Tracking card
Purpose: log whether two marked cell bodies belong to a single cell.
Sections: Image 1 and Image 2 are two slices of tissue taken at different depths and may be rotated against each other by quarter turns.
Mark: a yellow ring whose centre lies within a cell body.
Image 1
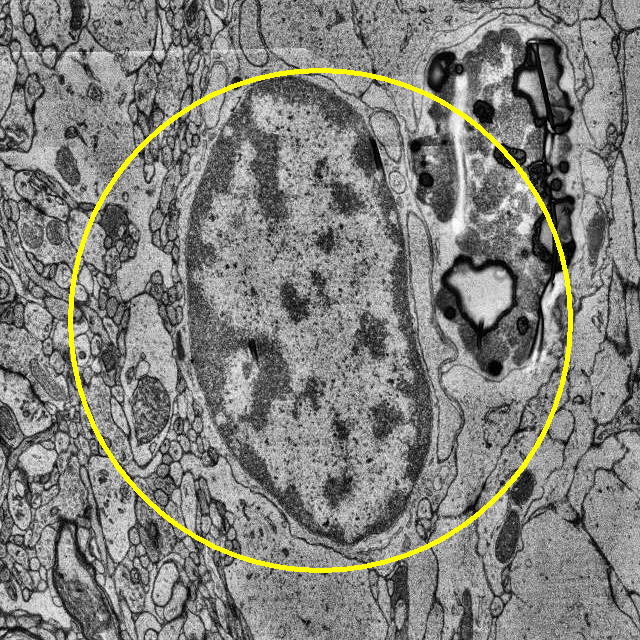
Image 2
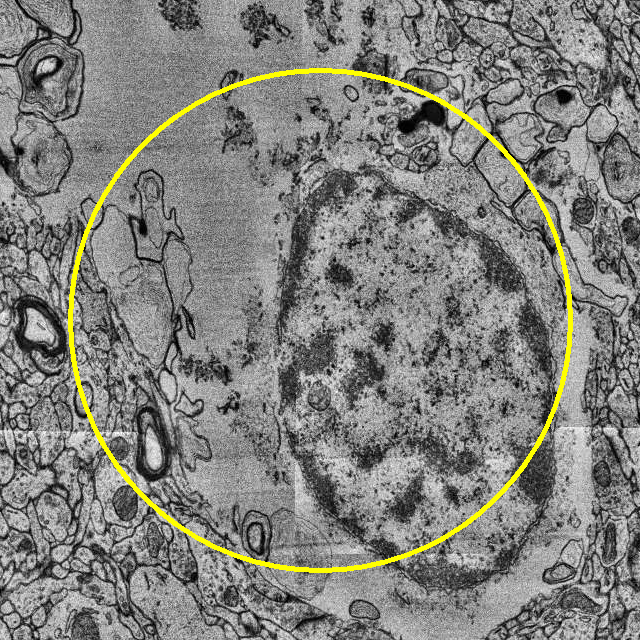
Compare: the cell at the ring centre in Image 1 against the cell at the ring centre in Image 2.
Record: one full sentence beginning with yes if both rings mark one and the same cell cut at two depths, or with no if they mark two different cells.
No, the yellow rings highlight two different cells in the tissue.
